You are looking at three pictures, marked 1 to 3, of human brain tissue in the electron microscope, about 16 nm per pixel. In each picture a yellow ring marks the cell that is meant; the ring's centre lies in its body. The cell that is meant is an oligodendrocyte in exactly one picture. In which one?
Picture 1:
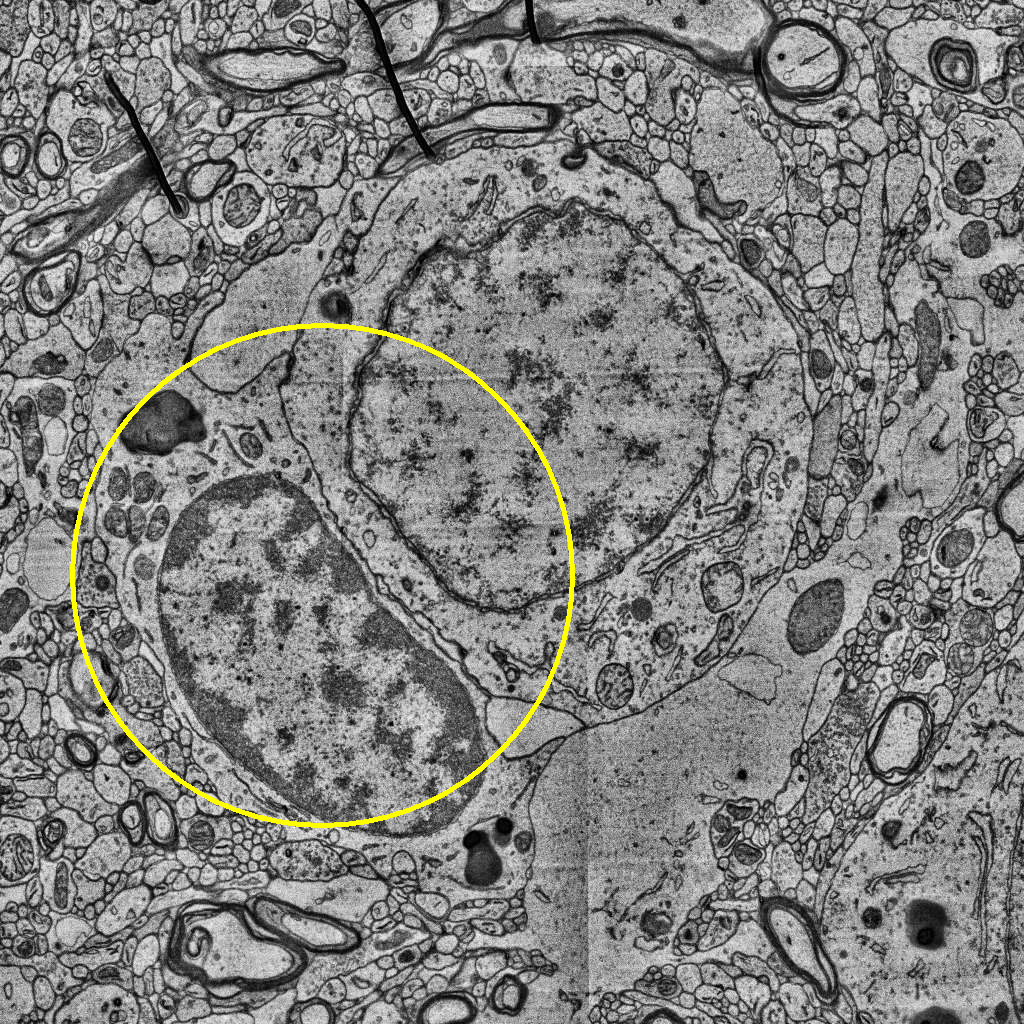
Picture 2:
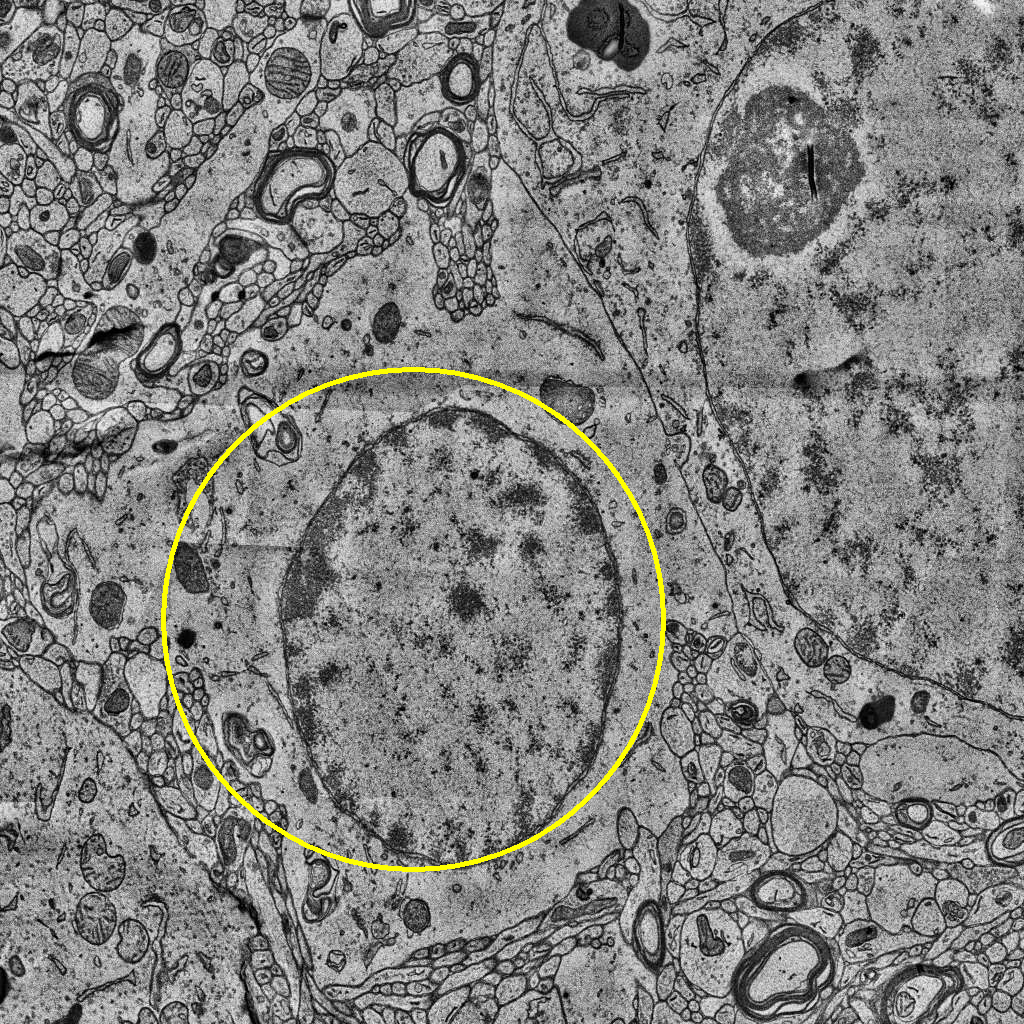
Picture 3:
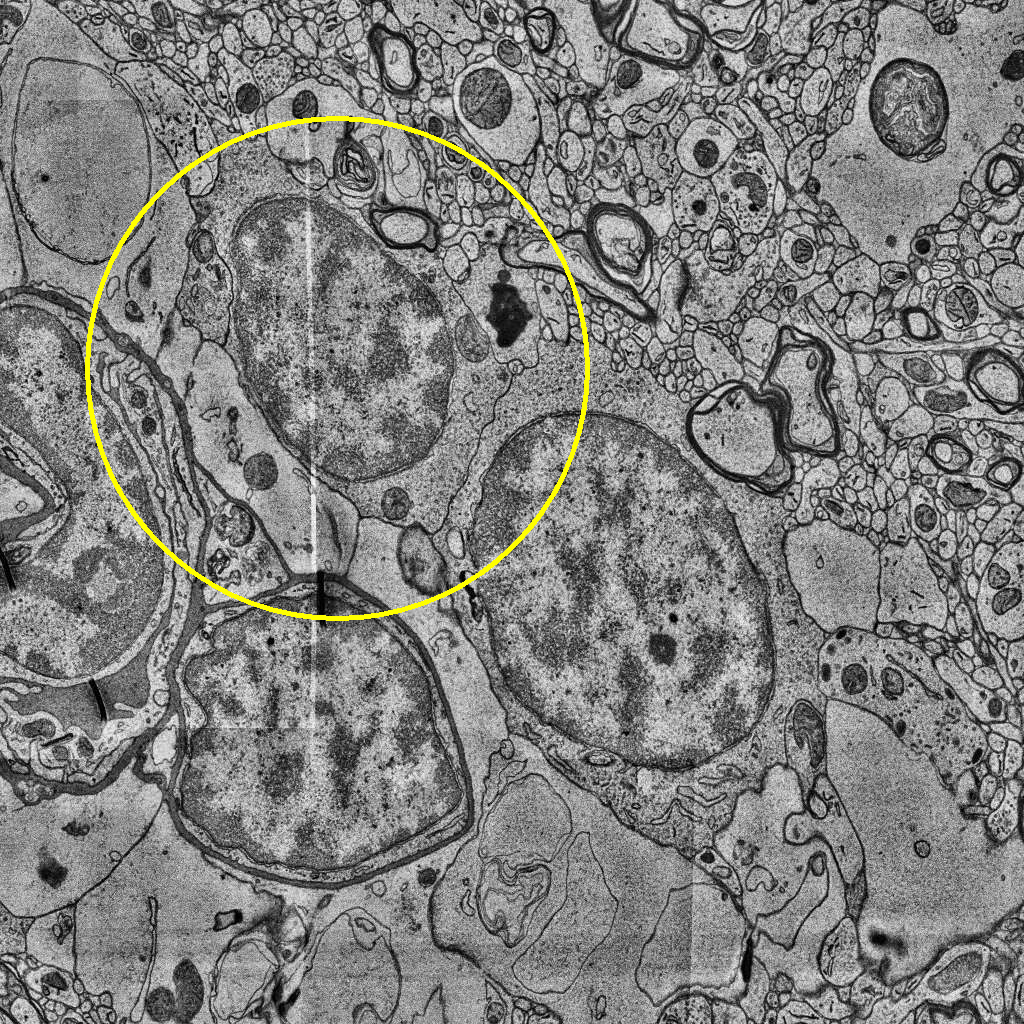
Picture 3 is the one that shows the oligodendrocyte.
